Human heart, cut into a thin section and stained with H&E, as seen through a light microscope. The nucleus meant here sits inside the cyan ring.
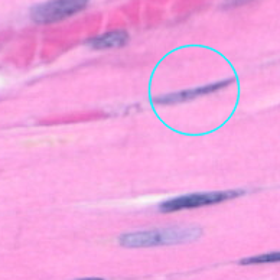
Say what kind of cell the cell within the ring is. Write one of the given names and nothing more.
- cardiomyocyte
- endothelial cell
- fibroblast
endothelial cell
